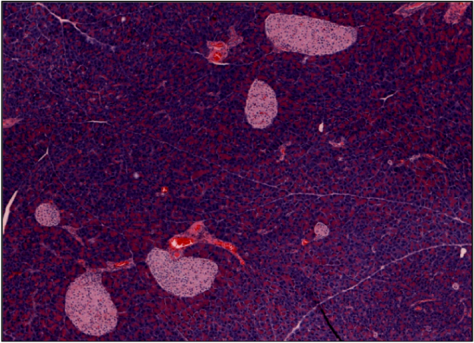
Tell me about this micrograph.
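This section of pancreas shows pale pink, rounded to oval islets of varying size scattered within densely packed, dark purple exocrine tissue. The islets are sharply bounded and lighter in colour than the surroundings, with small dark nuclei dotted evenly through them. Thin red-stained strands of connective tissue and small vessels run through the exocrine tissue, some passing close to the islets. Fine pale clefts cross the tissue between lobules.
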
